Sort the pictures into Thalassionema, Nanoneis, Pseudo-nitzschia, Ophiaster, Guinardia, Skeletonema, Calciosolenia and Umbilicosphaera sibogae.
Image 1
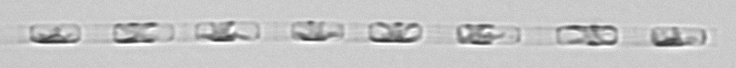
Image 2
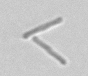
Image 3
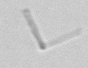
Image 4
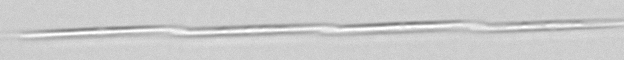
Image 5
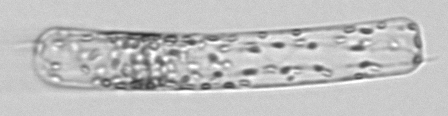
Skeletonema: 1
Nanoneis: 2, 3
Pseudo-nitzschia: 4
Guinardia: 5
